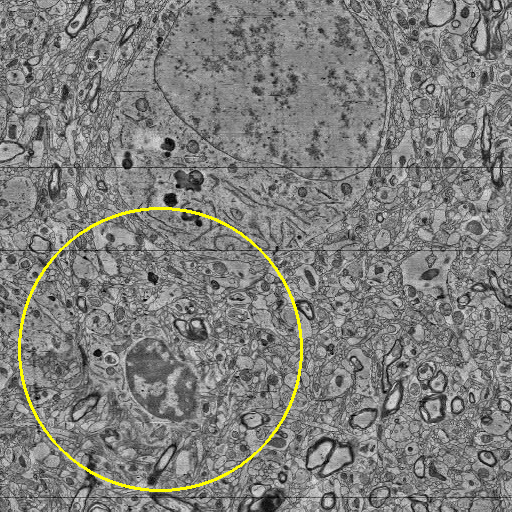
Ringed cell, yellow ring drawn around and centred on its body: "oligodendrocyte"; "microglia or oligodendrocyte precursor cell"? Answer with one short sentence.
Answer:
This ringed cell is a microglial cell or oligodendrocyte precursor cell.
